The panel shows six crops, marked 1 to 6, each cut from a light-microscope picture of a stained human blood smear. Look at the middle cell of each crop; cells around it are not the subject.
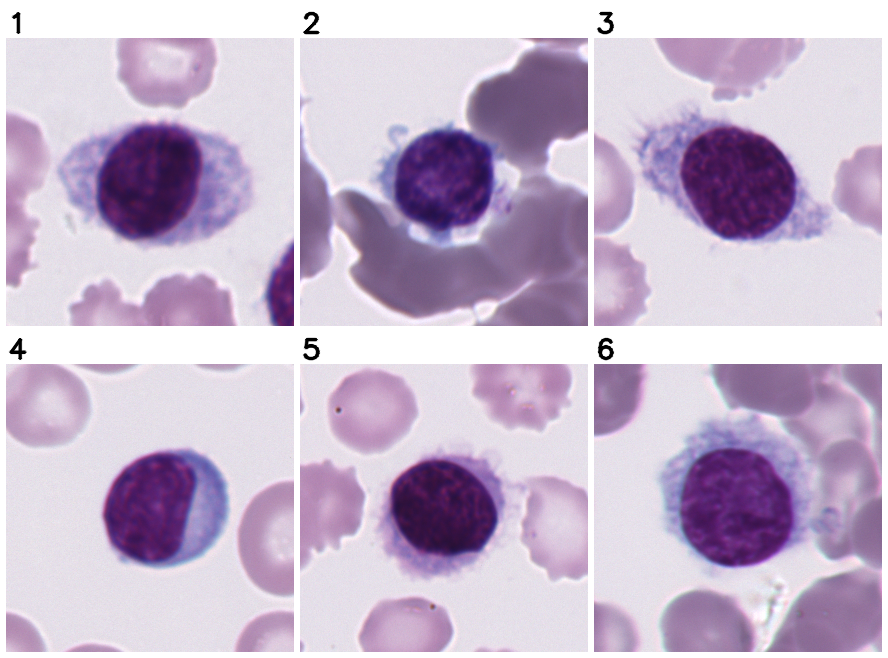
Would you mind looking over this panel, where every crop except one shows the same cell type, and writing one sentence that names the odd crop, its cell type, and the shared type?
Crop 4 holds a typical lymphocyte, unlike the remaining crops, all of which hold hairy cells.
